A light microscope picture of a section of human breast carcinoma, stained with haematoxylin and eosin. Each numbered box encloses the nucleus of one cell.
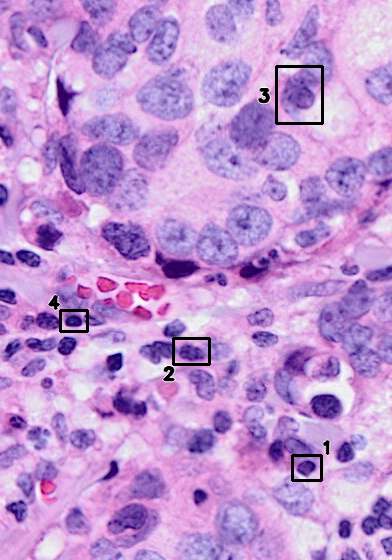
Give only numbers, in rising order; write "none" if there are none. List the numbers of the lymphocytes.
1, 2, 4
